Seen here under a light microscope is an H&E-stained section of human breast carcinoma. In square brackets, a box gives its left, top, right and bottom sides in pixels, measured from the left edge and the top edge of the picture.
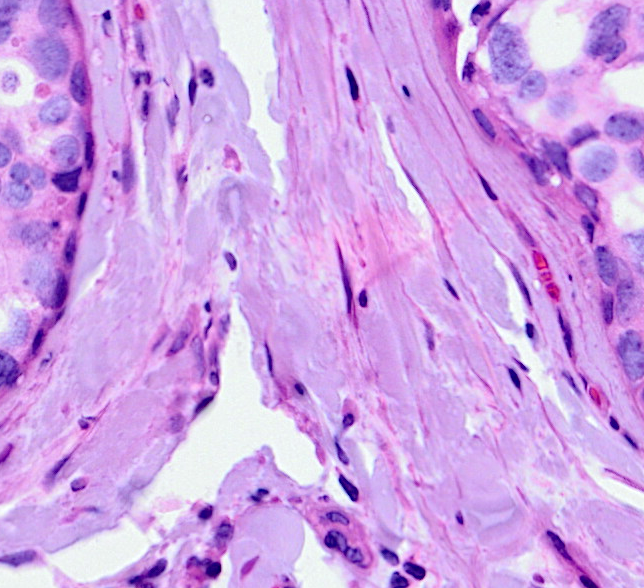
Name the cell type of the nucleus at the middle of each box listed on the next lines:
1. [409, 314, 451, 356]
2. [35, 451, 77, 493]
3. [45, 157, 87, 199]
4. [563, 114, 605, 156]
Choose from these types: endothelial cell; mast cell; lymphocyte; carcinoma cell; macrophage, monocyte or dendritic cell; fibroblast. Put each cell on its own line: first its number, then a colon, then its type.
1: fibroblast
2: fibroblast
3: carcinoma cell
4: carcinoma cell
